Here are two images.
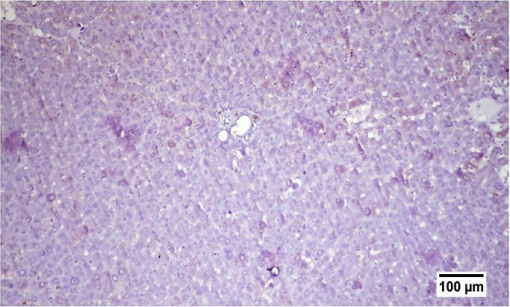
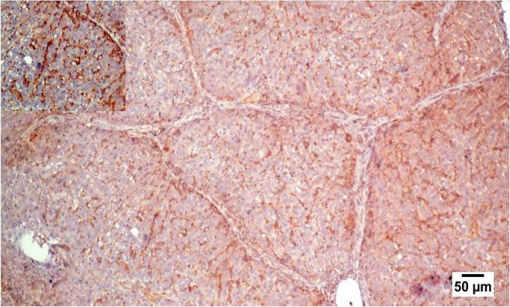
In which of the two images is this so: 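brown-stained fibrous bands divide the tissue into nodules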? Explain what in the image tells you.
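First image: the tissue is uniformly blue-purple with no brown bands.
Conclusion: the second image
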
